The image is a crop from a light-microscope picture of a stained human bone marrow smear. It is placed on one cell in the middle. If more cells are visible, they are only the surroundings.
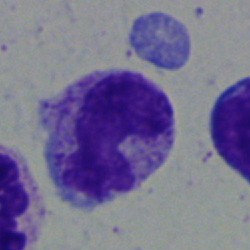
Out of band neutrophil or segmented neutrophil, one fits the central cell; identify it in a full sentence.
The cell at the middle of the frame should be recorded as a band neutrophil.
